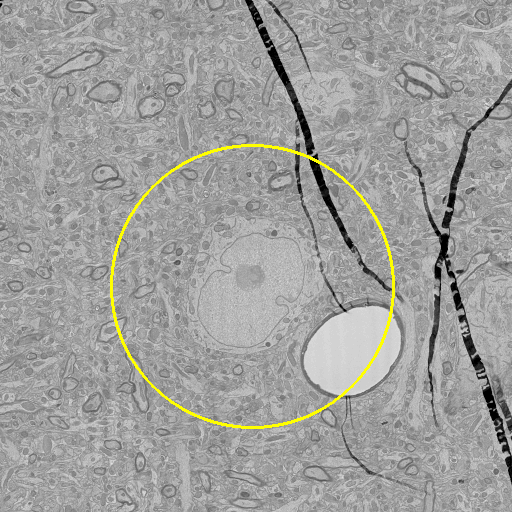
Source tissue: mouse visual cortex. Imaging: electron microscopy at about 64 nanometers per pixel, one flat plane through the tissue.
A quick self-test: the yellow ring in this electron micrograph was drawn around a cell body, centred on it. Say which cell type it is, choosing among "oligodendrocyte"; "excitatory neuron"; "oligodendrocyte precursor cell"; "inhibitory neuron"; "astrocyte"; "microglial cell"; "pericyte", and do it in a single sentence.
The yellow-ringed cell is an excitatory neuron.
